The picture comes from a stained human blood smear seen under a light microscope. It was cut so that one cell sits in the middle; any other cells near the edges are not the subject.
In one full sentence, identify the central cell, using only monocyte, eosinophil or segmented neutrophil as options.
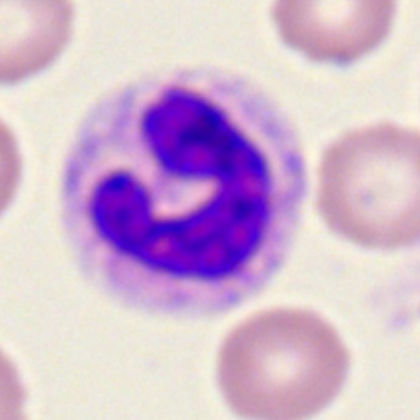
Looking at the middle of the crop, the cell there is a segmented neutrophil.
